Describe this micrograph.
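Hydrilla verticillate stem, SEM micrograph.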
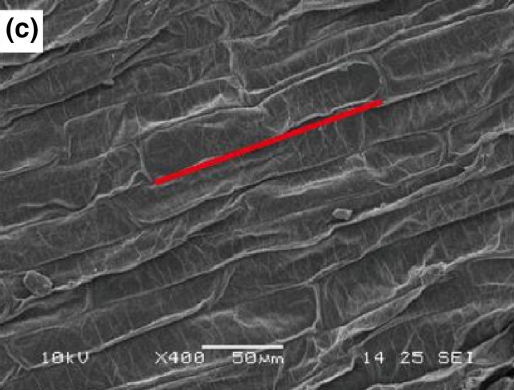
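The stem surface shows epidermal cells, elongated and arranged in parallel rows running diagonally across the field. Each cell is markedly longer than wide, with raised ridges marking the walls between cells and between rows. The cell surfaces appear finely wrinkled. A red line is drawn along the length of one cell.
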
